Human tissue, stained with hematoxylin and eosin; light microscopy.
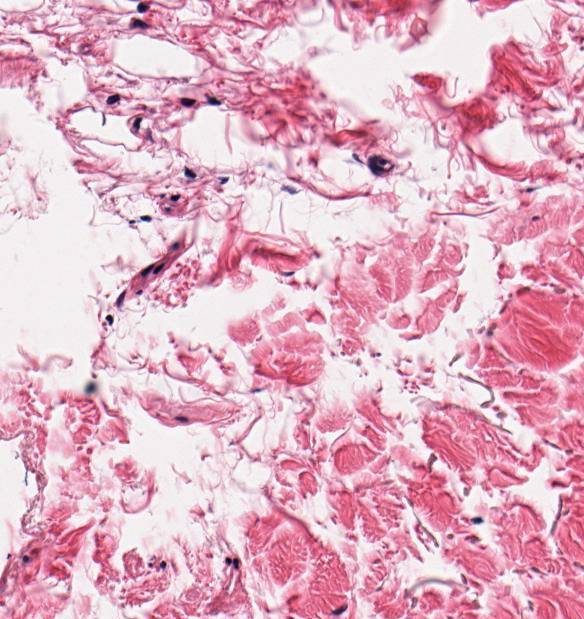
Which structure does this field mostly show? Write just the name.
dermis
